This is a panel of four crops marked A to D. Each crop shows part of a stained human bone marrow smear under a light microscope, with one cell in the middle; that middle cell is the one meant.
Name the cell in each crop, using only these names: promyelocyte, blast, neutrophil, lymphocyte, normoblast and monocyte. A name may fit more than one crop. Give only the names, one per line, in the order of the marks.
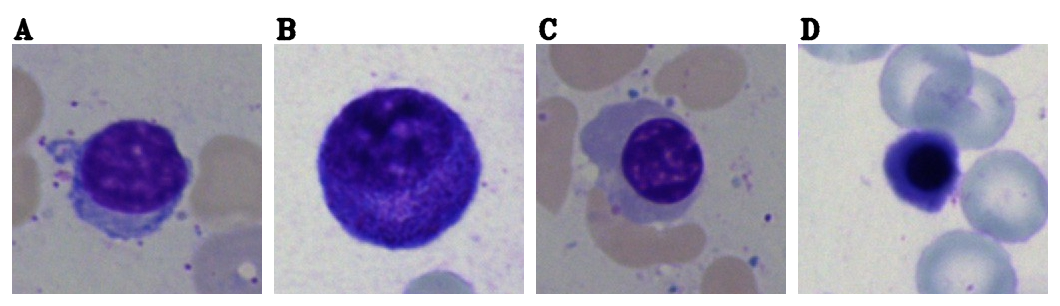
lymphocyte
promyelocyte
normoblast
normoblast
